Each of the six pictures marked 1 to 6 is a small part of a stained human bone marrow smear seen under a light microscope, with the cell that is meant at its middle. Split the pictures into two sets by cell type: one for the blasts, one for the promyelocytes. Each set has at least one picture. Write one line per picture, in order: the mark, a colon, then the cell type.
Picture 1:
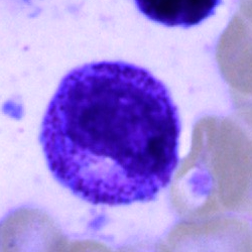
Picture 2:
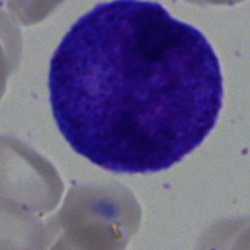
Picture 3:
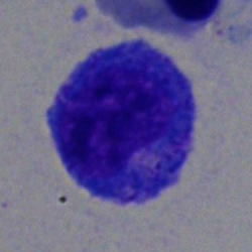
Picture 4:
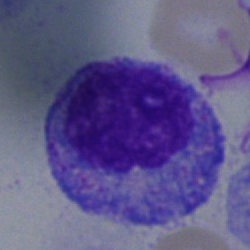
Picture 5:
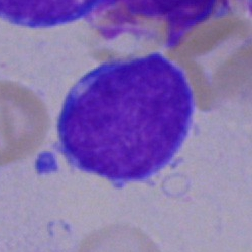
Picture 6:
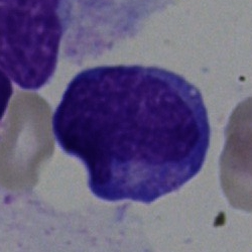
1: promyelocyte
2: promyelocyte
3: promyelocyte
4: promyelocyte
5: blast
6: blast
